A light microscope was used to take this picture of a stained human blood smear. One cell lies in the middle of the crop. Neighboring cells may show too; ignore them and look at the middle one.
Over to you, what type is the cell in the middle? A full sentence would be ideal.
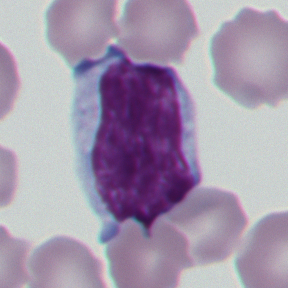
In the middle of this smear crop is a typical lymphocyte.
